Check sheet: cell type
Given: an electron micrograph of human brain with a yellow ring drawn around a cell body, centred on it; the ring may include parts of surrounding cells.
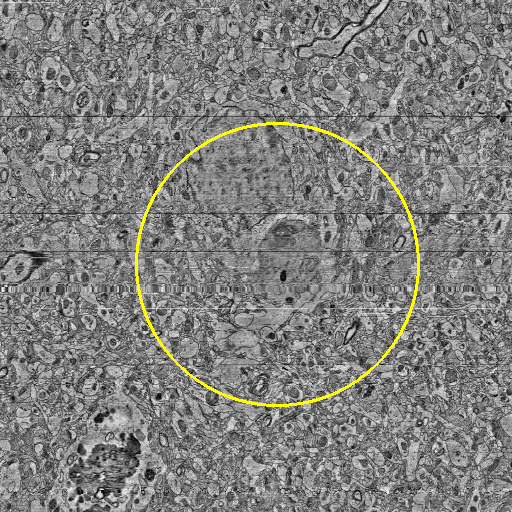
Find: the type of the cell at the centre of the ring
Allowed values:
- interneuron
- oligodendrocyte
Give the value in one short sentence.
Here the ringed cell is an oligodendrocyte.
